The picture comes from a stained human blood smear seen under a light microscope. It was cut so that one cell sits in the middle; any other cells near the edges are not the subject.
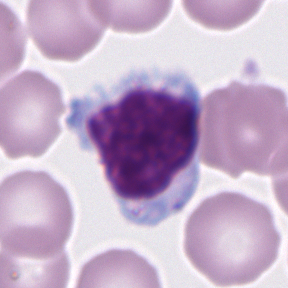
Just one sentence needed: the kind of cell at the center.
In the center of this field lies a typical lymphocyte.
